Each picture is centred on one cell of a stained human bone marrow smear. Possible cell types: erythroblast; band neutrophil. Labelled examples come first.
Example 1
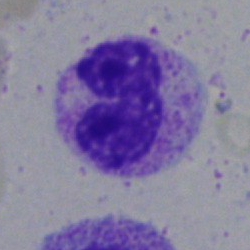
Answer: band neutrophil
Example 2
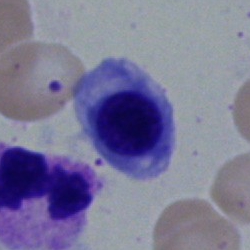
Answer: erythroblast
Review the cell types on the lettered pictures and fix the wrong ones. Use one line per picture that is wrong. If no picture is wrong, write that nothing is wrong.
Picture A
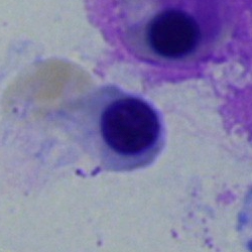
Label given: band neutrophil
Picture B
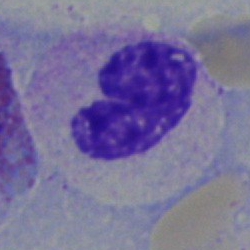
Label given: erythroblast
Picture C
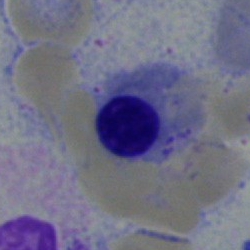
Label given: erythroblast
A: erythroblast, not band neutrophil
B: band neutrophil, not erythroblast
